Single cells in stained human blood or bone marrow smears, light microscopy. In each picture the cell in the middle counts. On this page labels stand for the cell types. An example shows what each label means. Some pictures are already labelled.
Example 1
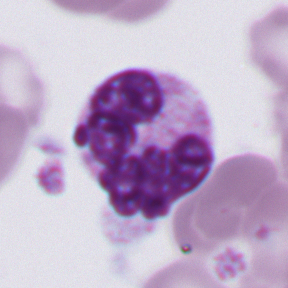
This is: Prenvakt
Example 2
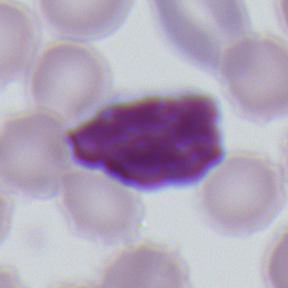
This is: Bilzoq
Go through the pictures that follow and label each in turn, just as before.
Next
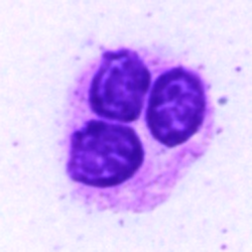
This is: Prenvakt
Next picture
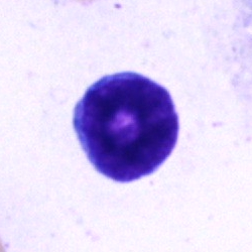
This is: Bilzoq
